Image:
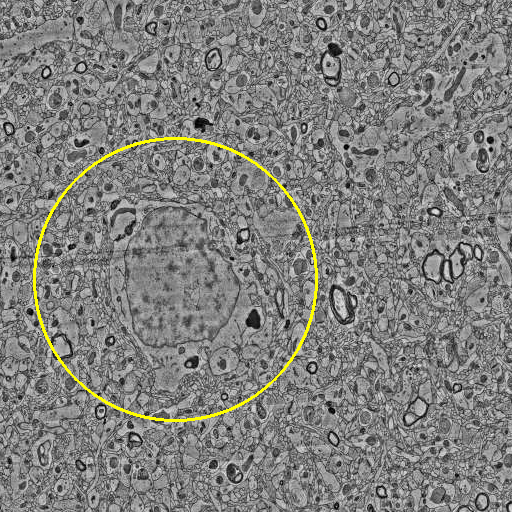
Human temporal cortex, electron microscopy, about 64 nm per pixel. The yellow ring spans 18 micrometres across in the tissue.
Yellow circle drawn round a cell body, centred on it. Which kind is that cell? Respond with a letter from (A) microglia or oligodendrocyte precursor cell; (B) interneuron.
B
